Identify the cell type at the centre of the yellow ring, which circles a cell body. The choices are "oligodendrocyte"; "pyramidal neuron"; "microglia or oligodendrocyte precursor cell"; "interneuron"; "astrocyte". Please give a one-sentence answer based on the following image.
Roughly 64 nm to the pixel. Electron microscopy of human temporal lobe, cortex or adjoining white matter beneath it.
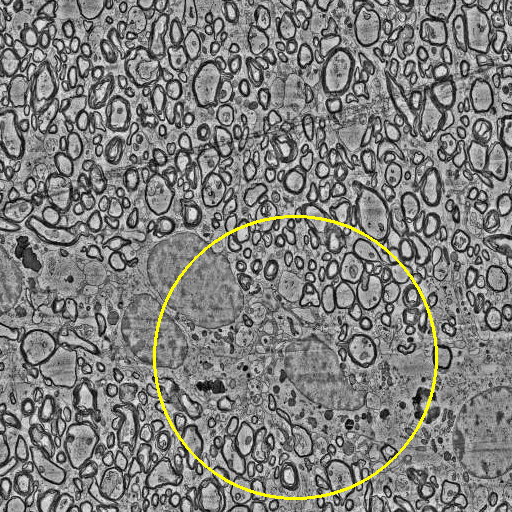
The cell marked by the ring is an oligodendrocyte.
